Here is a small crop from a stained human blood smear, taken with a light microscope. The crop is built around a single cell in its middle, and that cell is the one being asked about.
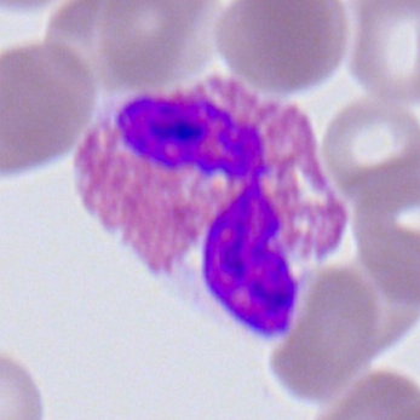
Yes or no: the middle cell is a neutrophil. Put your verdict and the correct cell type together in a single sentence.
No, it isn't a neutrophil; what sits in the middle is an eosinophil.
